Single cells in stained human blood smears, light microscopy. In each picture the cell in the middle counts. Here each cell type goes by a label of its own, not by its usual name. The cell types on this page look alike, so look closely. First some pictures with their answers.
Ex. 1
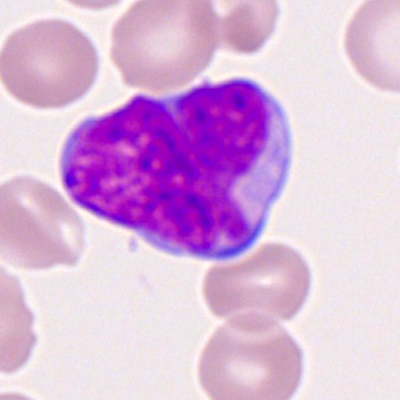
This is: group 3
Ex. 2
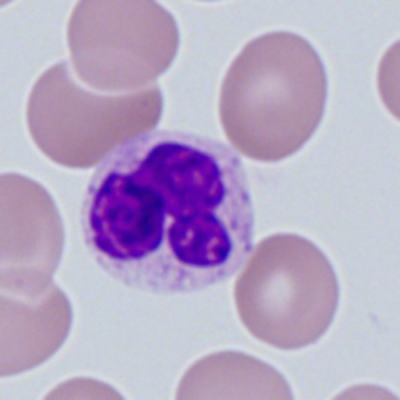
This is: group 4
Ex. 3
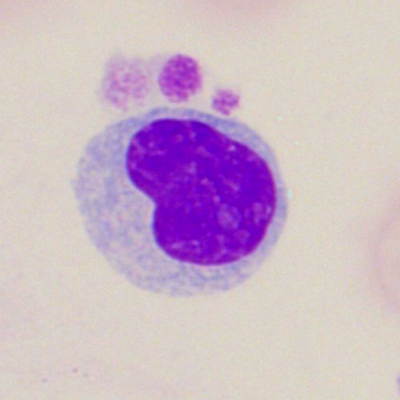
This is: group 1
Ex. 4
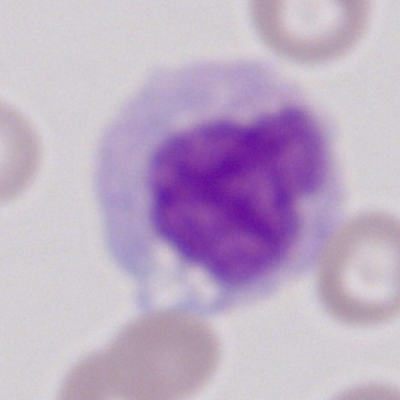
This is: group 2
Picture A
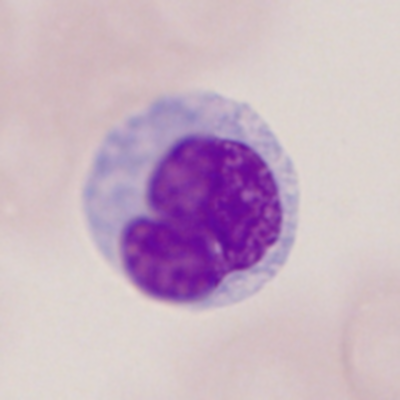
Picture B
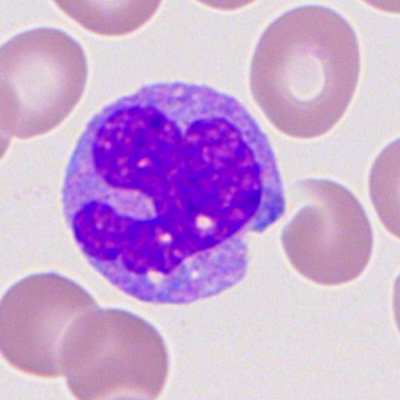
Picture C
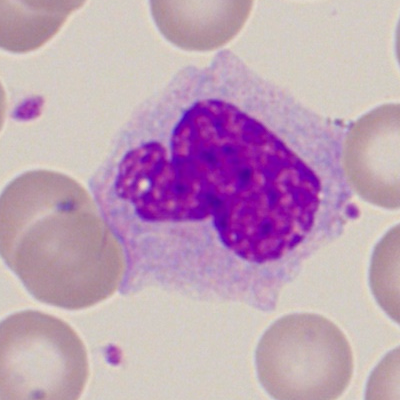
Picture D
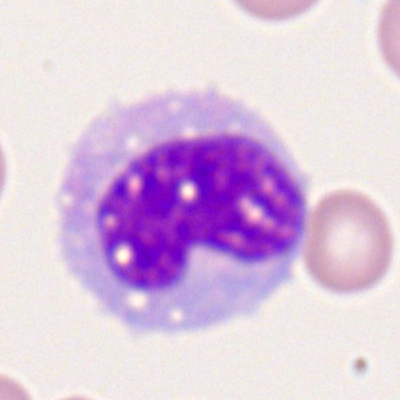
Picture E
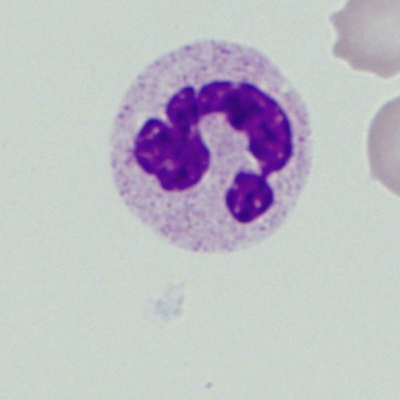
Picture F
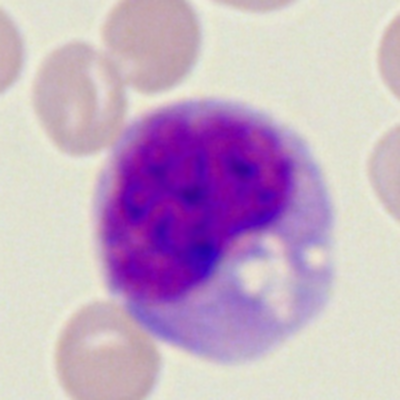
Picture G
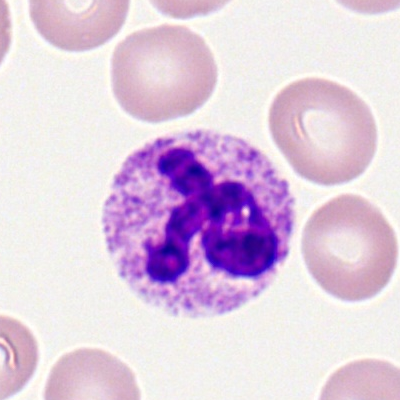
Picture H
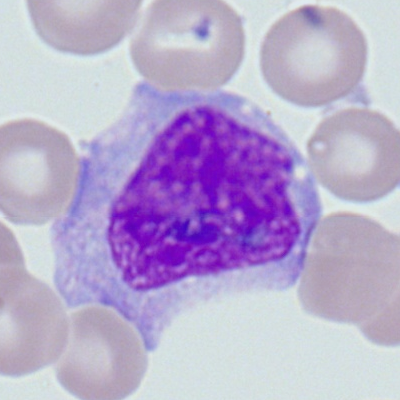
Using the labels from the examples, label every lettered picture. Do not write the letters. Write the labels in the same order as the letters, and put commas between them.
group 2, group 2, group 2, group 2, group 4, group 2, group 4, group 2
